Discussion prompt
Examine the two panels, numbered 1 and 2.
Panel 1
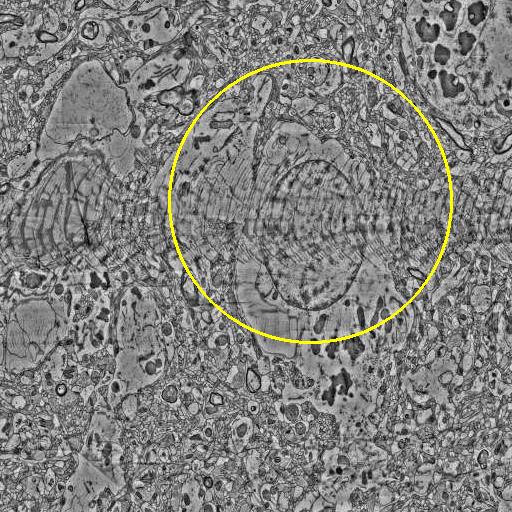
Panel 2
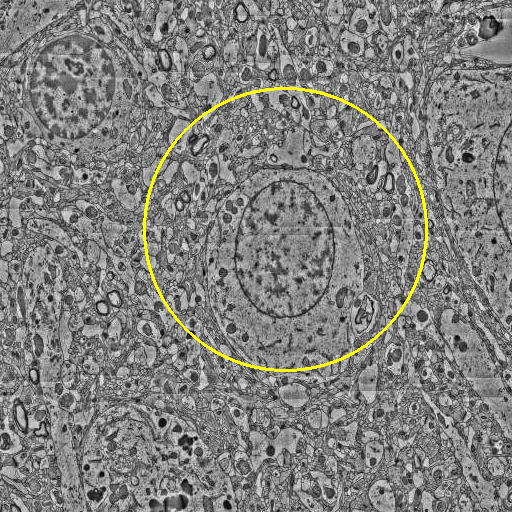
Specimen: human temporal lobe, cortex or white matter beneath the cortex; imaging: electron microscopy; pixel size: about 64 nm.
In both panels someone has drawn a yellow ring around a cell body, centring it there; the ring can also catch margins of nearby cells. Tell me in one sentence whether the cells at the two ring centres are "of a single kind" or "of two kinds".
Taken together, the two cells centred in the rings of Panels 1 and 2 are of two kinds.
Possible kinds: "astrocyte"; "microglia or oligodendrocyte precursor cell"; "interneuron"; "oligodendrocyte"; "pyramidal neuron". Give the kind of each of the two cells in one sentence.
The cell in the second picture is a pyramidal neuron, and that in the first is an astrocyte.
